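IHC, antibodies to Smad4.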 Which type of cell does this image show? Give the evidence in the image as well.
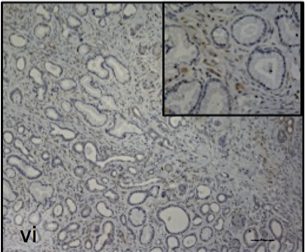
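Many tubular, duct-like lumens are scattered through the field. The lumens are lined by a single layer of low cuboidal to flattened cells. The lining cells sit in abundant surrounding stroma.
Conclusion: ductal epithelial cells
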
